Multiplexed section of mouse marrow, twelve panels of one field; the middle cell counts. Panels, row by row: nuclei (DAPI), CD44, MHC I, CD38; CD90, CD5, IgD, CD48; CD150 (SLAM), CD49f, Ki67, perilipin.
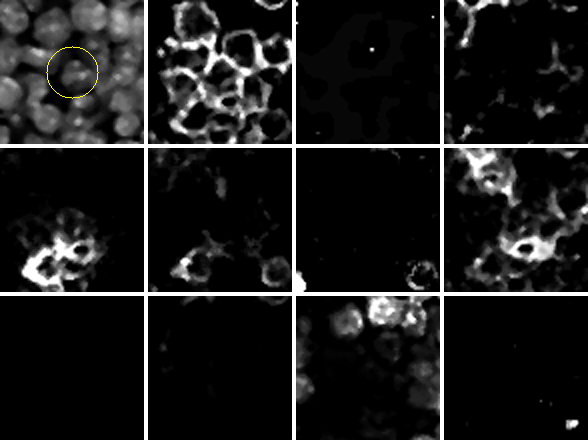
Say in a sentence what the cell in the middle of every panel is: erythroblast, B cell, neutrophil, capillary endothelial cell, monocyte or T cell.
This is a neutrophil.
